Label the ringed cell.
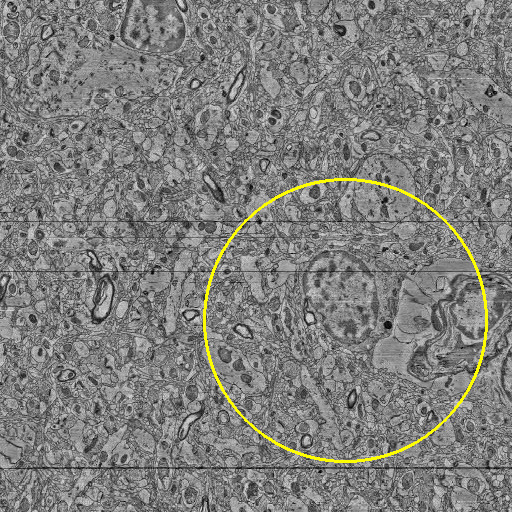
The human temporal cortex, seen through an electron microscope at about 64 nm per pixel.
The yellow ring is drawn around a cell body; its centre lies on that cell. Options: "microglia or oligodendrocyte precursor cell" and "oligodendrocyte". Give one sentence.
The ringed cell is an oligodendrocyte.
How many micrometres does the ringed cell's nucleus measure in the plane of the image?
The nucleus measures about 6 by 5 micrometres in this plane.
